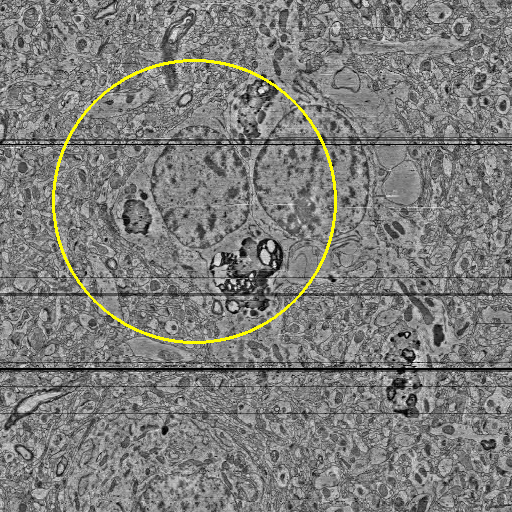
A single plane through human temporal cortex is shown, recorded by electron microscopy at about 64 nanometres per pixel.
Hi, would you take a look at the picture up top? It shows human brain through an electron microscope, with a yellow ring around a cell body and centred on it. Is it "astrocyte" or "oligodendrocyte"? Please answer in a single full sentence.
The best fit for the cell in the middle of the ring is an astrocyte, I reckon.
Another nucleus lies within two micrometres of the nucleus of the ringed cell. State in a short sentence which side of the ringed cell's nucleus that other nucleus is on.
The second nucleus is to the right of it.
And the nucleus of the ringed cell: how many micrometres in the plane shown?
About 8 by 6 micrometres in this plane.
